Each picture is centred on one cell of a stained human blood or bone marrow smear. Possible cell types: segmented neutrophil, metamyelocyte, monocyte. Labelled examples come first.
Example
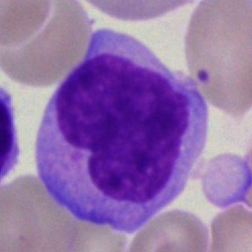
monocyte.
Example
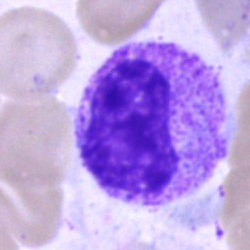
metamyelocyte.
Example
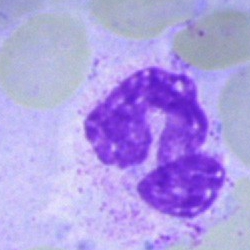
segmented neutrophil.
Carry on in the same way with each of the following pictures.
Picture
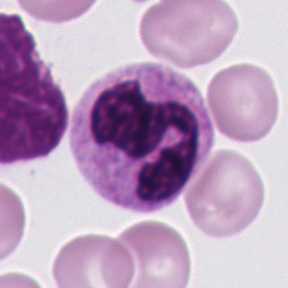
segmented neutrophil.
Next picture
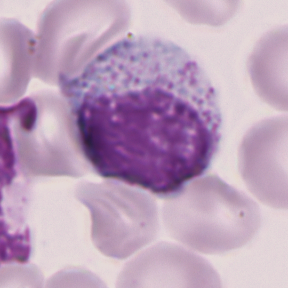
metamyelocyte.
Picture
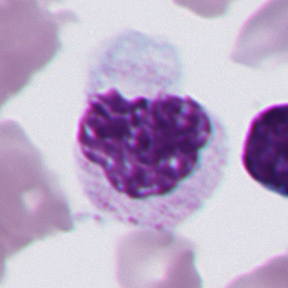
segmented neutrophil.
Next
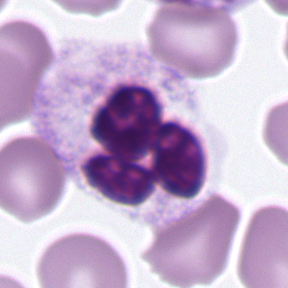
segmented neutrophil.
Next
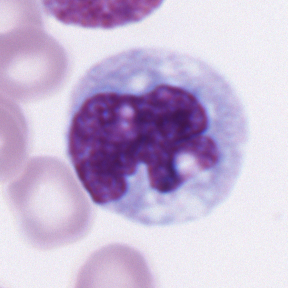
monocyte.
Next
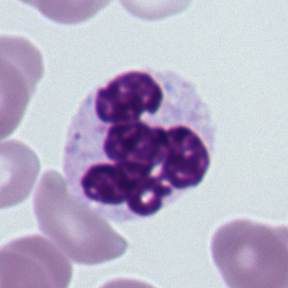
segmented neutrophil.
